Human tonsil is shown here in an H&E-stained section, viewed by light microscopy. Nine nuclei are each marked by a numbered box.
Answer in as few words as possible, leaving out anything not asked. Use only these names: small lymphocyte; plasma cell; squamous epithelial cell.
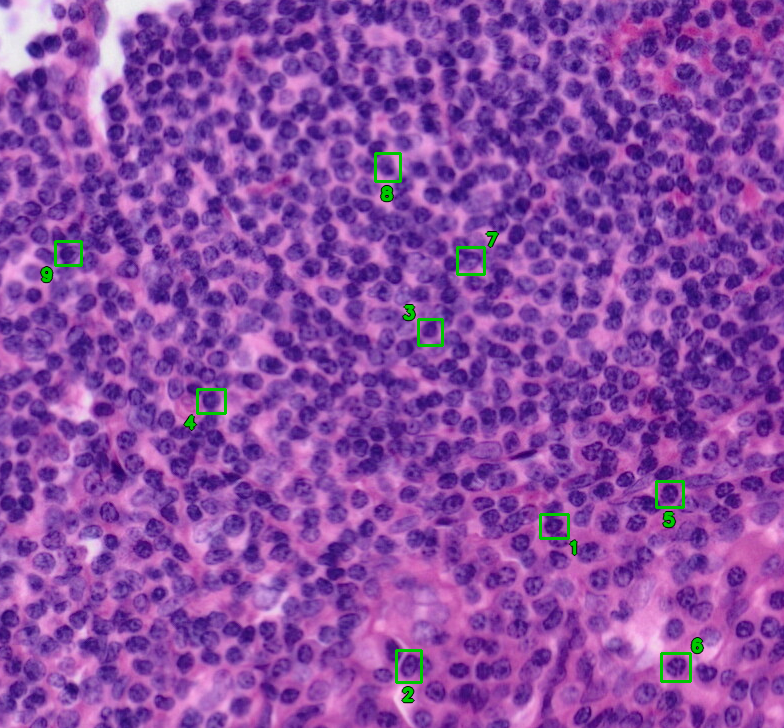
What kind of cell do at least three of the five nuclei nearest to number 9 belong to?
small lymphocyte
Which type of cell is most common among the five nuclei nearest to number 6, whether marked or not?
plasma cell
